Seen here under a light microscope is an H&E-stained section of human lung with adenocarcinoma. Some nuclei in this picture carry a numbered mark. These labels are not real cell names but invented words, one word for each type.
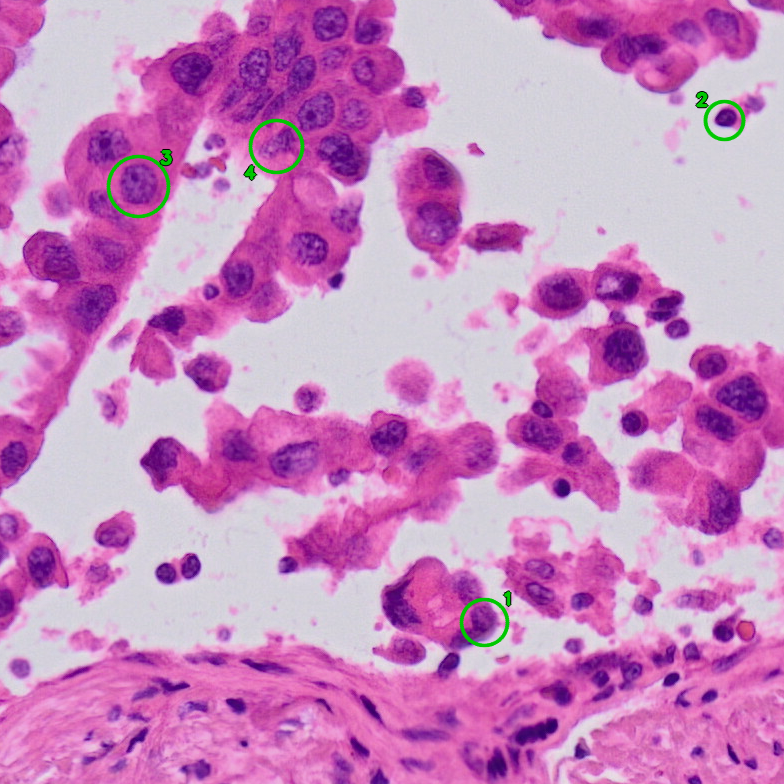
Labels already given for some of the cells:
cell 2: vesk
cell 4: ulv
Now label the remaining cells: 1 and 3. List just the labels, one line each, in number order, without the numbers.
ulv
ulv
